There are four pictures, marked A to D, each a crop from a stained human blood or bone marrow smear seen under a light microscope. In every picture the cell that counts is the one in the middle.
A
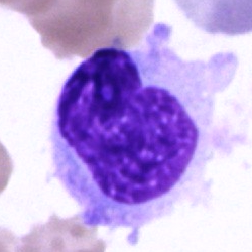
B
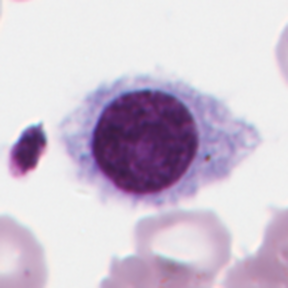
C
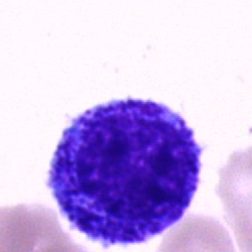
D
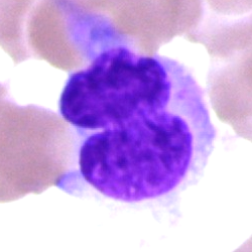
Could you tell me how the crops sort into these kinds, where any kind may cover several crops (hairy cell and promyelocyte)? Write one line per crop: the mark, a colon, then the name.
A: hairy cell
B: hairy cell
C: promyelocyte
D: hairy cell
